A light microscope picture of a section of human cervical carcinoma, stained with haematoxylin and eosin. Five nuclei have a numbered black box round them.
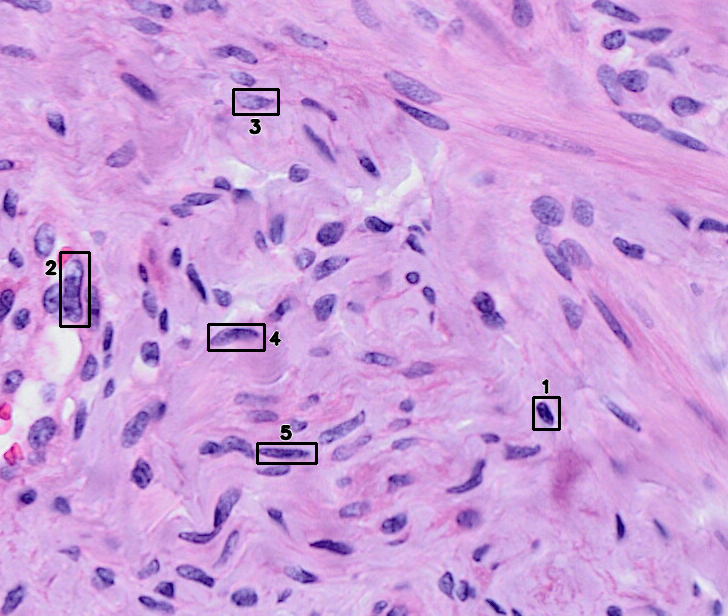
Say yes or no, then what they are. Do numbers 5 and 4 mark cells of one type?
Yes, both are fibroblasts.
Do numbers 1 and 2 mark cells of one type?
No, cell 1 is a lymphocyte and cell 2 is an endothelial cell.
